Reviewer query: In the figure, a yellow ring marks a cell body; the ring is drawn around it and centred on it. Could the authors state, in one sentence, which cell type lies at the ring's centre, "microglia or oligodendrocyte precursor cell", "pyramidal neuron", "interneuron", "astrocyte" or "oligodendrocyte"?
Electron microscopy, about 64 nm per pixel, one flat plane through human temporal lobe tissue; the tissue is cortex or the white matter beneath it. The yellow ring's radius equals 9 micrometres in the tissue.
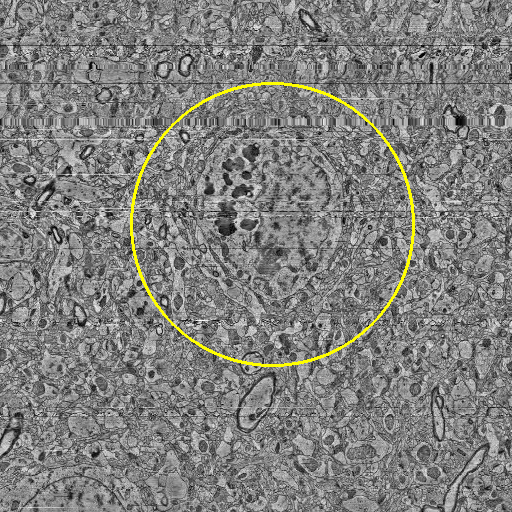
The ring is centred on an interneuron.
